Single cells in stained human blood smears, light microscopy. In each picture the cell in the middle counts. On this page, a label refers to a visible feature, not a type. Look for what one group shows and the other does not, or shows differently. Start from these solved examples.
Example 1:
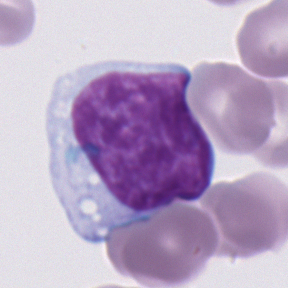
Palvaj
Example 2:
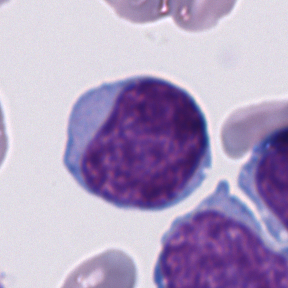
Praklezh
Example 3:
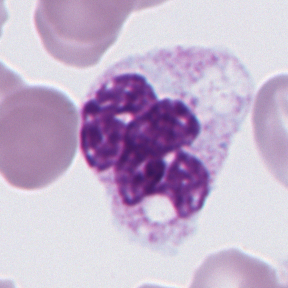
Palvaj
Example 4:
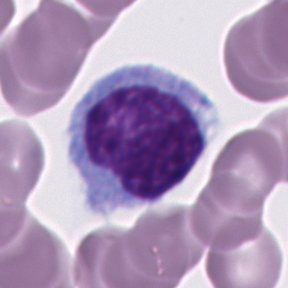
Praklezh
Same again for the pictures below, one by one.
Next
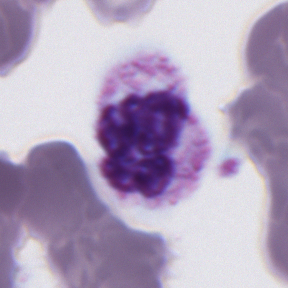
Praklezh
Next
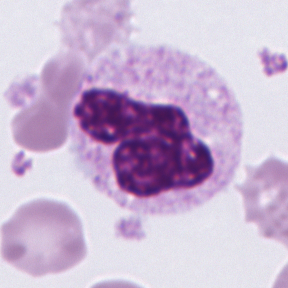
Palvaj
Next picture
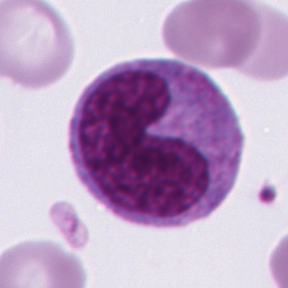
Praklezh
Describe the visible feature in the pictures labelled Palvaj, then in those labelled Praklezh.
Seen in Palvaj: vacuoles present; seen in Praklezh: no vacuoles.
